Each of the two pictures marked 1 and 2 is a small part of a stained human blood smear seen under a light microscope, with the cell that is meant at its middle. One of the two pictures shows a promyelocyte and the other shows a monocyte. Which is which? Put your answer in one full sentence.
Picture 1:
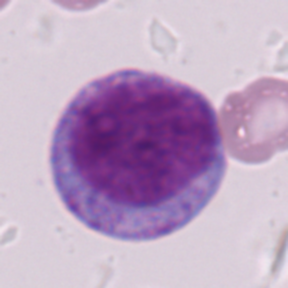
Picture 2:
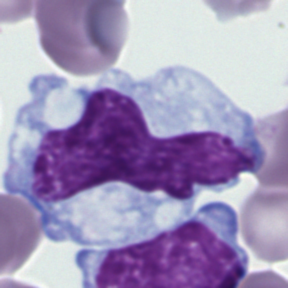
The cell in picture 1 is a promyelocyte, and the one in picture 2 is a monocyte.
